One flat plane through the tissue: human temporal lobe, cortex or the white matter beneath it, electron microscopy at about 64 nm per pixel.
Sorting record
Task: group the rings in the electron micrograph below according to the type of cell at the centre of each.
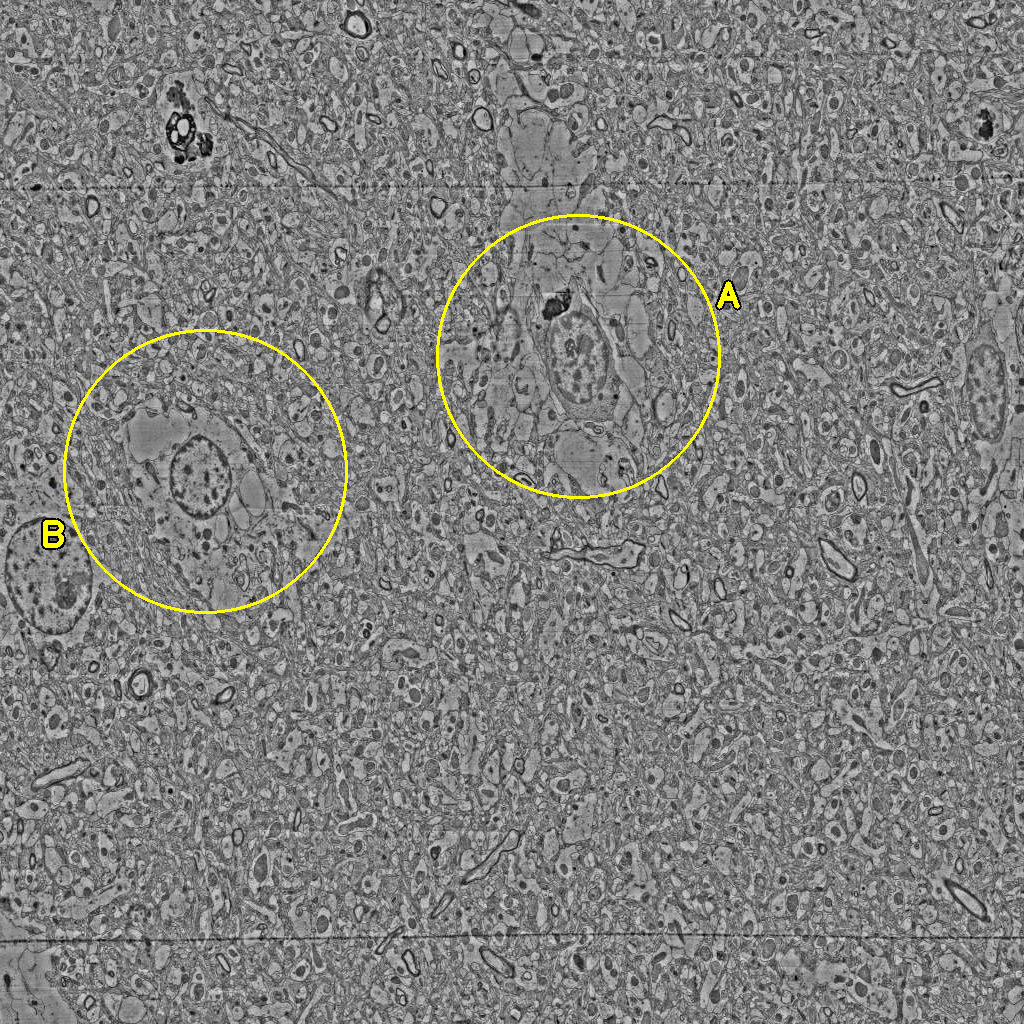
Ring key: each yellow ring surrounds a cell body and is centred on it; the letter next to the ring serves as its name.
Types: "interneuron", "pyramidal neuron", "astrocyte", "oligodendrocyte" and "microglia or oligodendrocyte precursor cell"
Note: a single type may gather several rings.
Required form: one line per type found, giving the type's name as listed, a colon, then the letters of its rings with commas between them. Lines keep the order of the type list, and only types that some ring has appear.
astrocyte: B
oligodendrocyte: A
